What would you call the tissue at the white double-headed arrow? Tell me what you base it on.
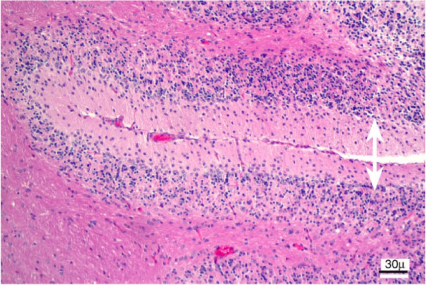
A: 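Molecular layer. The double-headed arrow spans a pale pink, sparsely nucleated band lying between bands of densely packed dark blue nuclei. The band spanned by the arrow is bisected by a thin cleft.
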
